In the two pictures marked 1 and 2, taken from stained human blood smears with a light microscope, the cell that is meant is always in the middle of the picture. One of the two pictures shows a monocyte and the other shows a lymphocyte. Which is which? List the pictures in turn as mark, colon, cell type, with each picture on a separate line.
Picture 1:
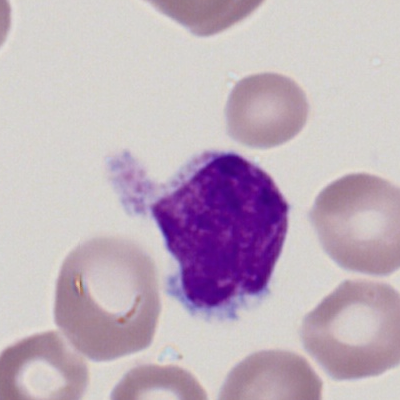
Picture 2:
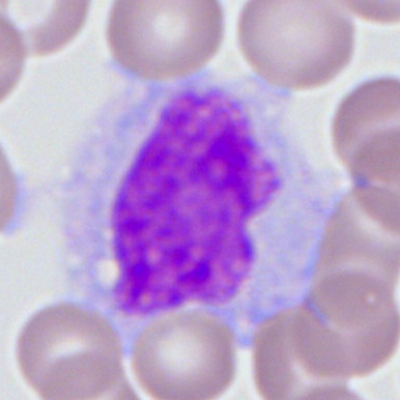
1: lymphocyte
2: monocyte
